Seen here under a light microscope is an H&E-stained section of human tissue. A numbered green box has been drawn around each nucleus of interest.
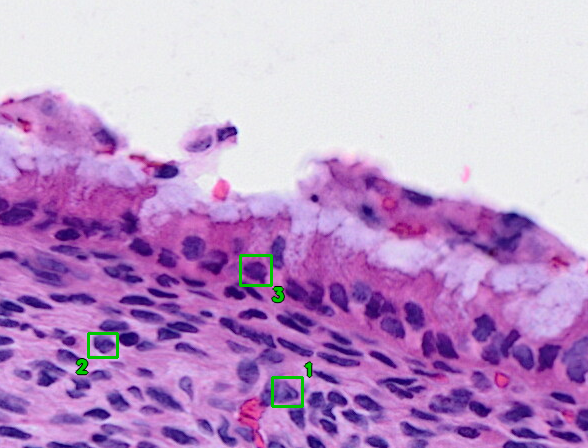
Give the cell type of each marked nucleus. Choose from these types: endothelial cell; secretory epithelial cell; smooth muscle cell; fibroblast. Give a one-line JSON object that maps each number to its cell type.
{"1": "endothelial cell", "2": "fibroblast", "3": "secretory epithelial cell"}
